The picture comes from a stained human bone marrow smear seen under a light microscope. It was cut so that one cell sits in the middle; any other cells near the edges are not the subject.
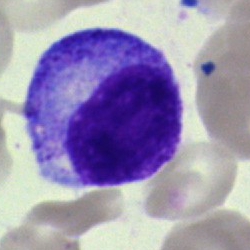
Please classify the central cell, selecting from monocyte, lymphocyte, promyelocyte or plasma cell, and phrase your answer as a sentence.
The cell in the exact centre of the crop is a promyelocyte.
